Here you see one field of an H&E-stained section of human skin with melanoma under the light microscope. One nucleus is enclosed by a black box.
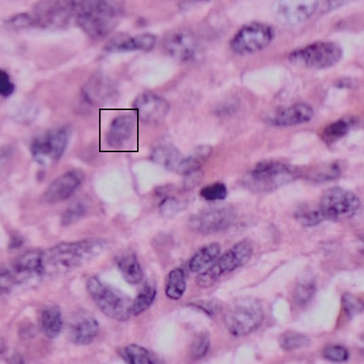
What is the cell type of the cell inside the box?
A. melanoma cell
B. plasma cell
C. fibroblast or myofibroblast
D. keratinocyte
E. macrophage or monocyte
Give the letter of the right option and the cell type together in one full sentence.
The choice that fits is option A, as the cell inside the box is a melanoma cell.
